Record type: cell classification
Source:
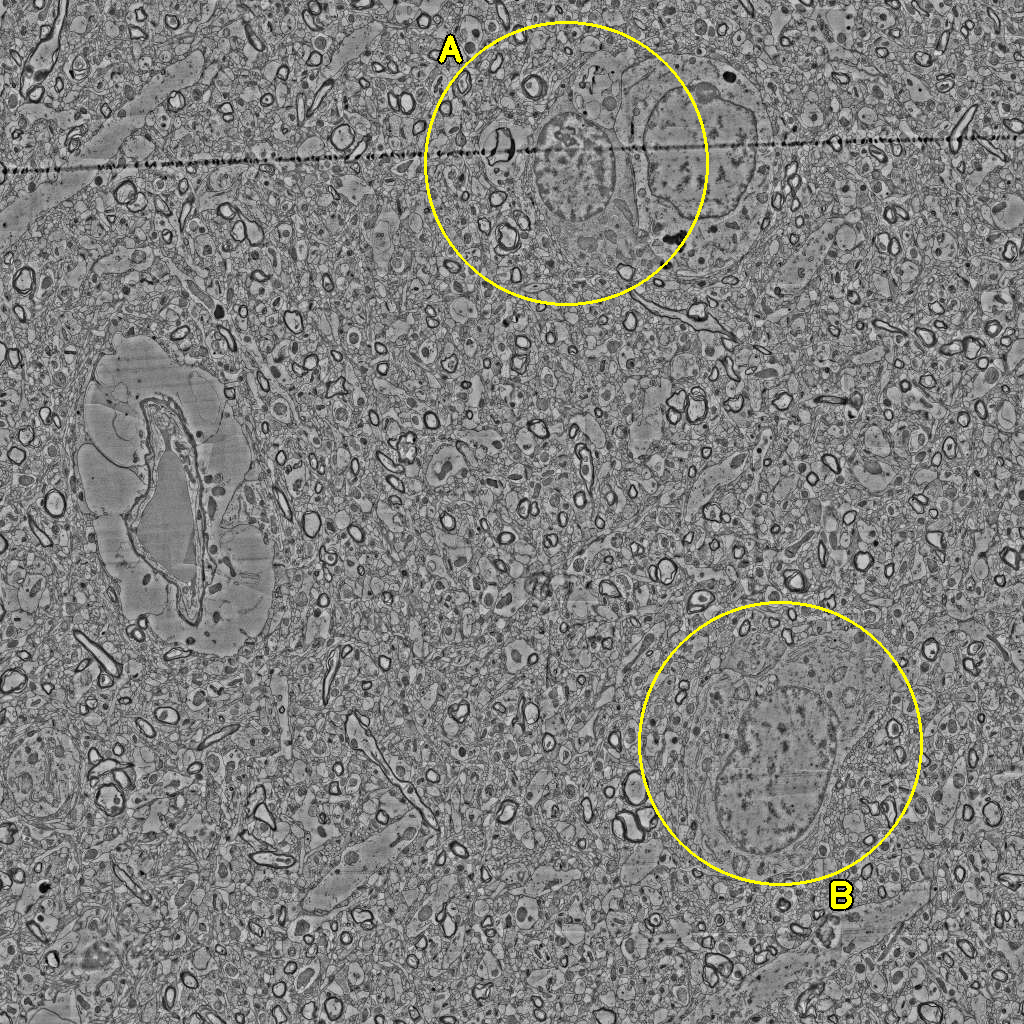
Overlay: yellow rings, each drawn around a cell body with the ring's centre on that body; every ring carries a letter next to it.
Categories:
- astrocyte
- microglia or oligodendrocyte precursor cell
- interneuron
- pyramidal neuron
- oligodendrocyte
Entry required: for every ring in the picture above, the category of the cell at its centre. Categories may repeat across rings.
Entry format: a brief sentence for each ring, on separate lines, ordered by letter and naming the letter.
At the centre of ring A lies an oligodendrocyte.
At the centre of ring B lies an interneuron.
